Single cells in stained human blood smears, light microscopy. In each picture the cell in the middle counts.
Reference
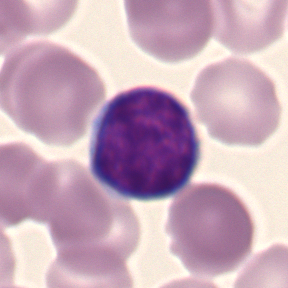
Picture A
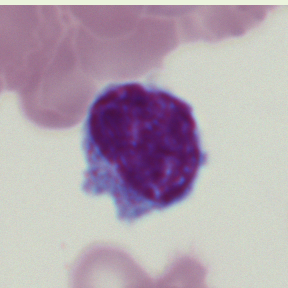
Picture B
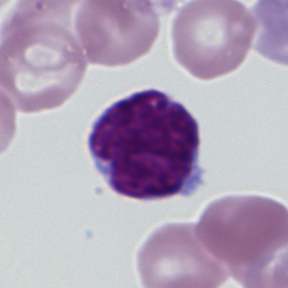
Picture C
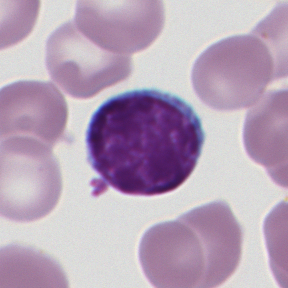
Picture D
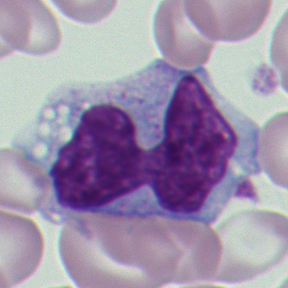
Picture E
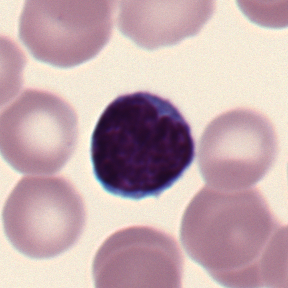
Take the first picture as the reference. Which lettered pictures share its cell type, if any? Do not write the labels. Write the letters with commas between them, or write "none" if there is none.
A, B, C, E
